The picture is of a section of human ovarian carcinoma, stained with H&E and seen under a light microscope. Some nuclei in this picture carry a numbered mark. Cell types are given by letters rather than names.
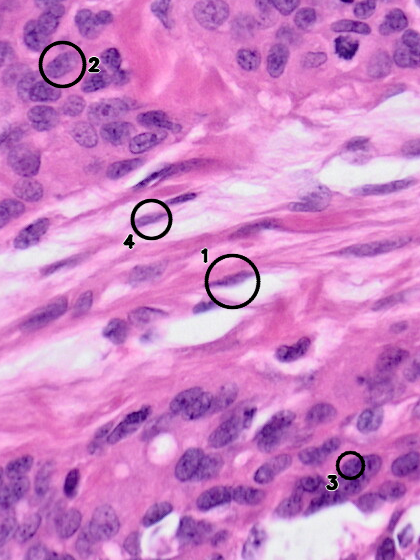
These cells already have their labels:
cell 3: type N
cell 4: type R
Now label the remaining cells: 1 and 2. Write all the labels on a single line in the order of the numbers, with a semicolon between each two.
type R; type N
